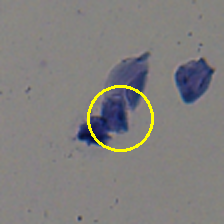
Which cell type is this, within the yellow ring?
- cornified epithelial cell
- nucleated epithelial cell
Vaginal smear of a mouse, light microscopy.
Within the ring is a cornified epithelial cell.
